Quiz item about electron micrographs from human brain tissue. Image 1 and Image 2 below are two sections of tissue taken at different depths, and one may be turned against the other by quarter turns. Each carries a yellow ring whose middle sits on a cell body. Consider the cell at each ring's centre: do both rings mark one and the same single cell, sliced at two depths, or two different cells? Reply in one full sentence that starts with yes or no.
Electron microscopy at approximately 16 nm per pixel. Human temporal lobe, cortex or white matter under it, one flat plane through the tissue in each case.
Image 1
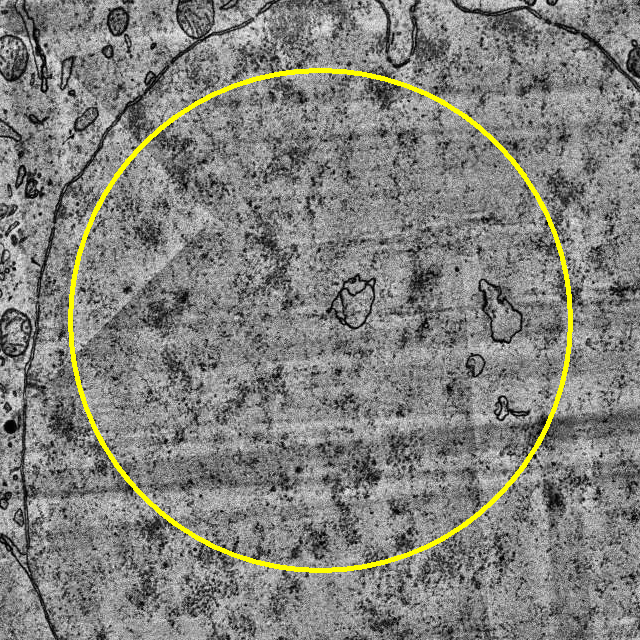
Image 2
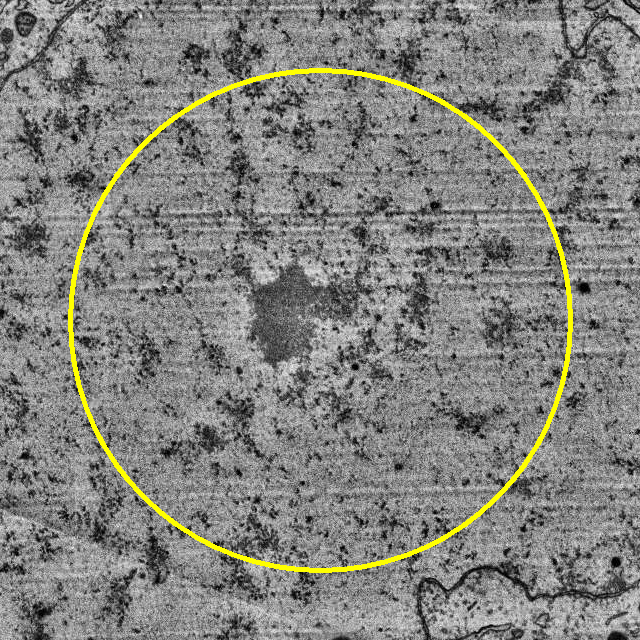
No, these are two different cells, each marked with a ring.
